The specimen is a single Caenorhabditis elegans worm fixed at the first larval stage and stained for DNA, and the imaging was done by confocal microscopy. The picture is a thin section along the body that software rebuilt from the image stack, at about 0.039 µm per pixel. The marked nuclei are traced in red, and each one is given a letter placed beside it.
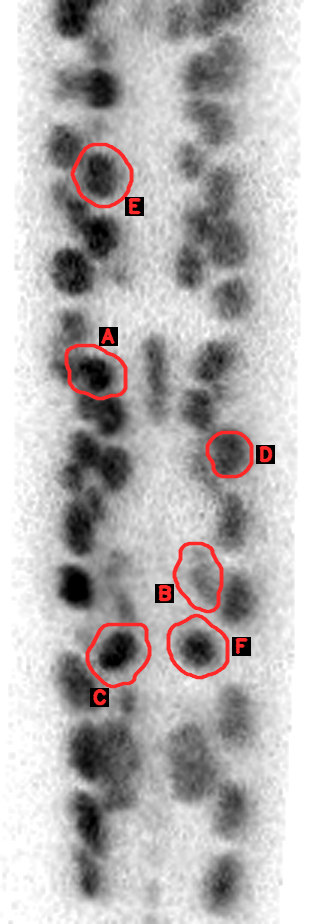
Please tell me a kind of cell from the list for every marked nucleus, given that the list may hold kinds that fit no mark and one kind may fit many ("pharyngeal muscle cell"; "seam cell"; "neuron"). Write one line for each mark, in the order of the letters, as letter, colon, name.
A: neuron
B: pharyngeal muscle cell
C: pharyngeal muscle cell
D: neuron
E: neuron
F: pharyngeal muscle cell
